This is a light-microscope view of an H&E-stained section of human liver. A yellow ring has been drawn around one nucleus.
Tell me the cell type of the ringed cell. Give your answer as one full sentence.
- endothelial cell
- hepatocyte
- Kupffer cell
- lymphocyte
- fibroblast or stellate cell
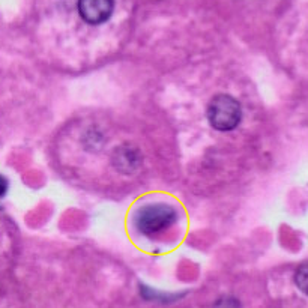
Within this tissue, the ringed cell is an endothelial cell.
